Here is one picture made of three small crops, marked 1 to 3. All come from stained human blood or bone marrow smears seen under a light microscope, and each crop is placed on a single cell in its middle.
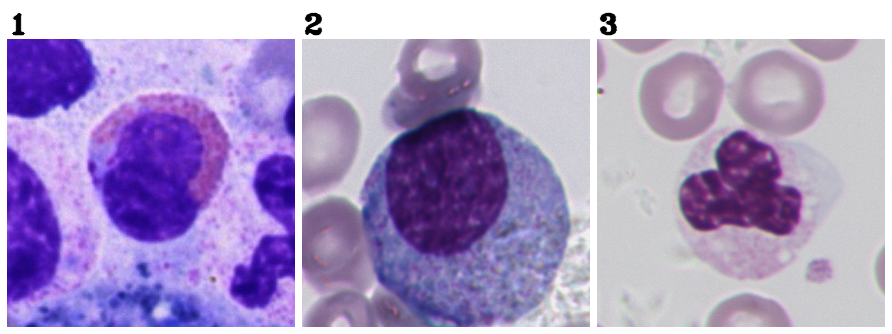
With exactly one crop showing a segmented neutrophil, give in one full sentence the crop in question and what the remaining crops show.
Crop 3 presents a segmented neutrophil, while crop 1 is an eosinophil and crop 2 is a promyelocyte.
